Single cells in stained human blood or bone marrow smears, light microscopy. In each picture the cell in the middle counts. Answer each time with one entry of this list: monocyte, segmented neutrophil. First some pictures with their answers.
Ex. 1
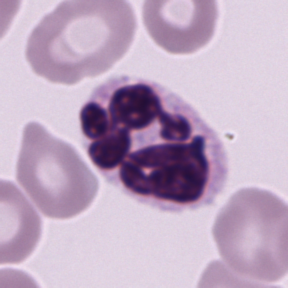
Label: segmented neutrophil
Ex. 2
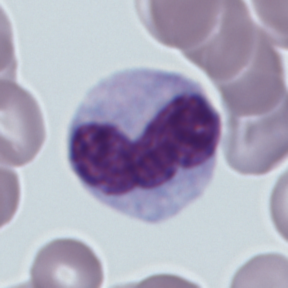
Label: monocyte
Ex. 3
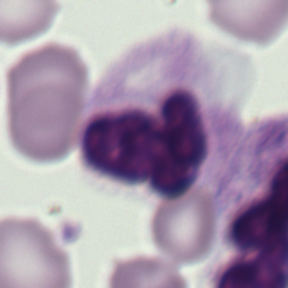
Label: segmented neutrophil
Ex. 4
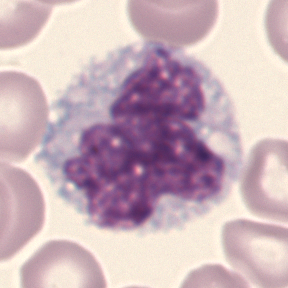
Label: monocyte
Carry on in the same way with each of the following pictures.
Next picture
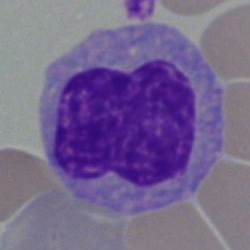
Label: monocyte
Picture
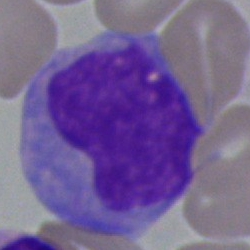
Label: monocyte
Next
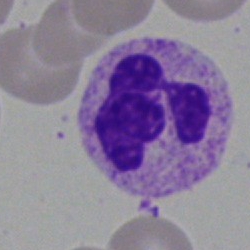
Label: segmented neutrophil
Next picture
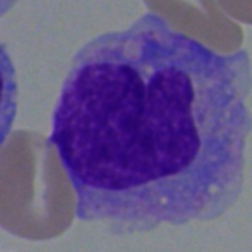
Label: monocyte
